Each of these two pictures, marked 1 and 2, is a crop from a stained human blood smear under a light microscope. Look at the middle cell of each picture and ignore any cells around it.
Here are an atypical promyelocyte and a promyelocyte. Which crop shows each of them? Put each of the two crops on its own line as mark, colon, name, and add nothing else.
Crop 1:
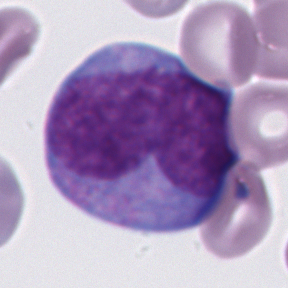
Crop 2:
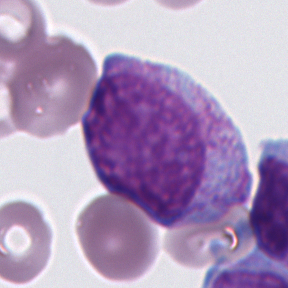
1: promyelocyte
2: atypical promyelocyte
